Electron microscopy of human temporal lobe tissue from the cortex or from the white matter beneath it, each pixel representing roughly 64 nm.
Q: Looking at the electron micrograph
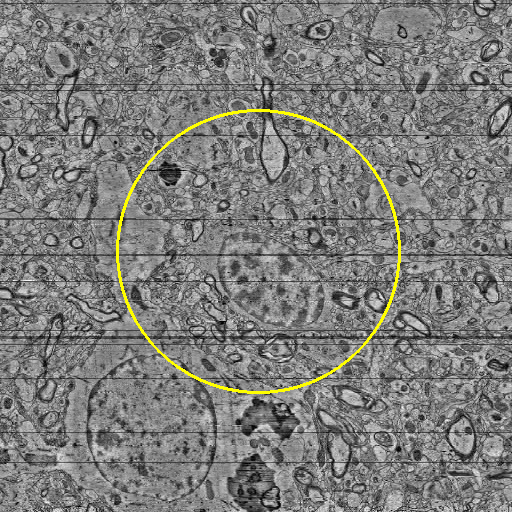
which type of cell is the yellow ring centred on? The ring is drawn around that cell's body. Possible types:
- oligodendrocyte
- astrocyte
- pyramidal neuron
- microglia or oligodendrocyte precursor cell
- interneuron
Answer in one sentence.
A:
The yellow ring is centred on an oligodendrocyte.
